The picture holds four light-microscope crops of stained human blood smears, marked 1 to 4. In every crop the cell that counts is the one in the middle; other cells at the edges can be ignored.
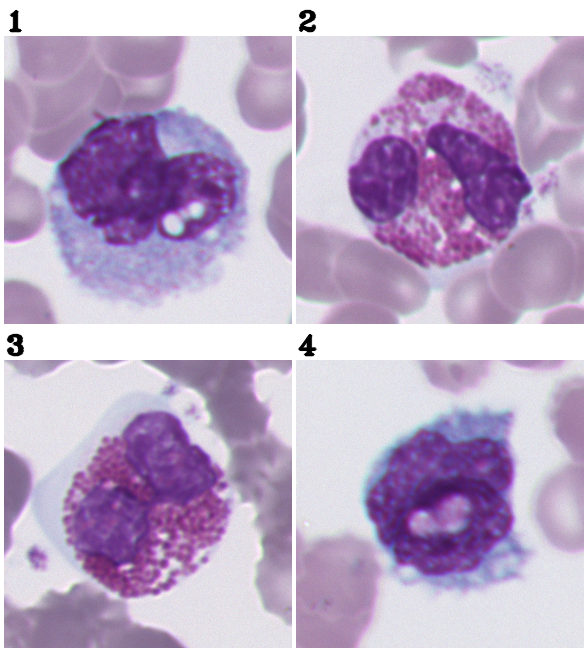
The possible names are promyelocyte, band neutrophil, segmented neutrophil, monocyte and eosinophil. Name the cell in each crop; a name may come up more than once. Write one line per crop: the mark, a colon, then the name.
1: monocyte
2: eosinophil
3: eosinophil
4: monocyte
